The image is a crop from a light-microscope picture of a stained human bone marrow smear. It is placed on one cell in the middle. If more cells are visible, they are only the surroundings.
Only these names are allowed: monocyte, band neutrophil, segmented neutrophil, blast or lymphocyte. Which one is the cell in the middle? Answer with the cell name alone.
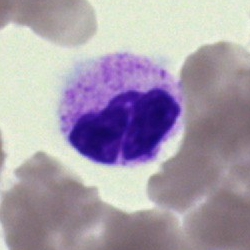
segmented neutrophil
